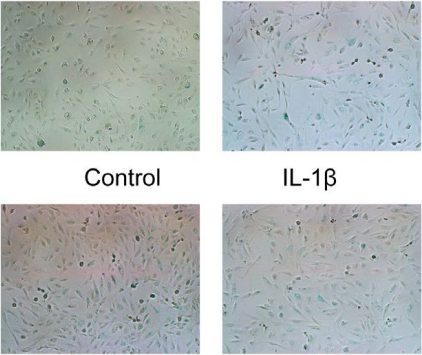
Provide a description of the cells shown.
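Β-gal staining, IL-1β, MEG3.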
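Most cells are elongated or spindle-shaped with thin extensions, and they are scattered with gaps between them rather than forming a closed sheet. A number of cells carry a blue-green stain in their cytoplasm, and some cells appear as small dark dots. The proportion of blue-green cells differs between the fields.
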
